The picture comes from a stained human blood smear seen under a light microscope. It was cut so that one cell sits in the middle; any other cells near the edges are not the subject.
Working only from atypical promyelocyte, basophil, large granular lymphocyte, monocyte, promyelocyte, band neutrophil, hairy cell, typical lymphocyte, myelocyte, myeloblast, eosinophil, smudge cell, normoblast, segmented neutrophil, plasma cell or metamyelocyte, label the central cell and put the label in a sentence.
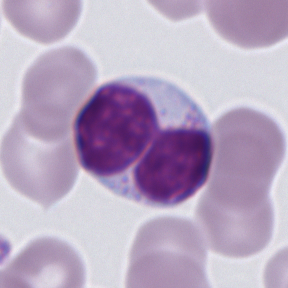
Seen at the centre of the crop is a large granular lymphocyte.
